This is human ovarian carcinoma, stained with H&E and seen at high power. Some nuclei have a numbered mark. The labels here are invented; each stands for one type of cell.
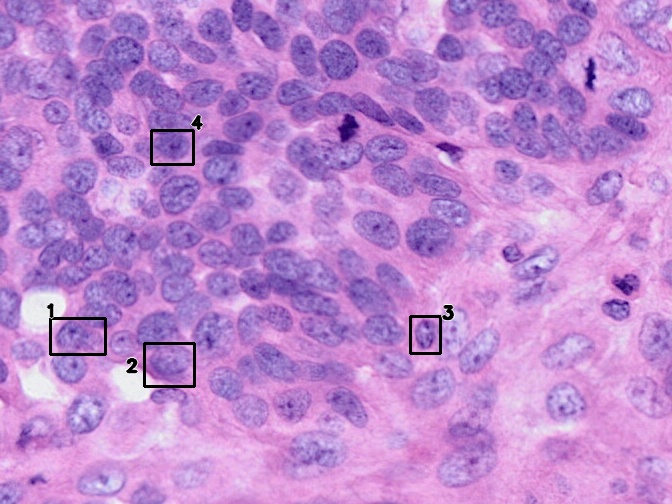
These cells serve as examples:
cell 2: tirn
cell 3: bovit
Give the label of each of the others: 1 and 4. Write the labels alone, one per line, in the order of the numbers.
tirn
tirn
